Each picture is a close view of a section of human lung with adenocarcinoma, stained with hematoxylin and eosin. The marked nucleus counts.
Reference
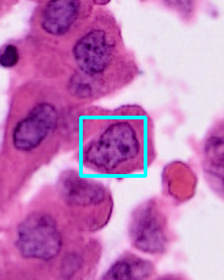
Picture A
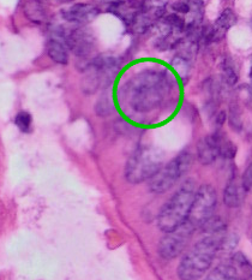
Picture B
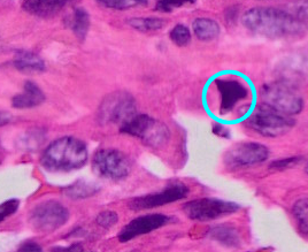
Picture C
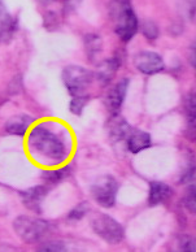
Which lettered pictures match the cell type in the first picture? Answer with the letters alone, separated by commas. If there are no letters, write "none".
B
